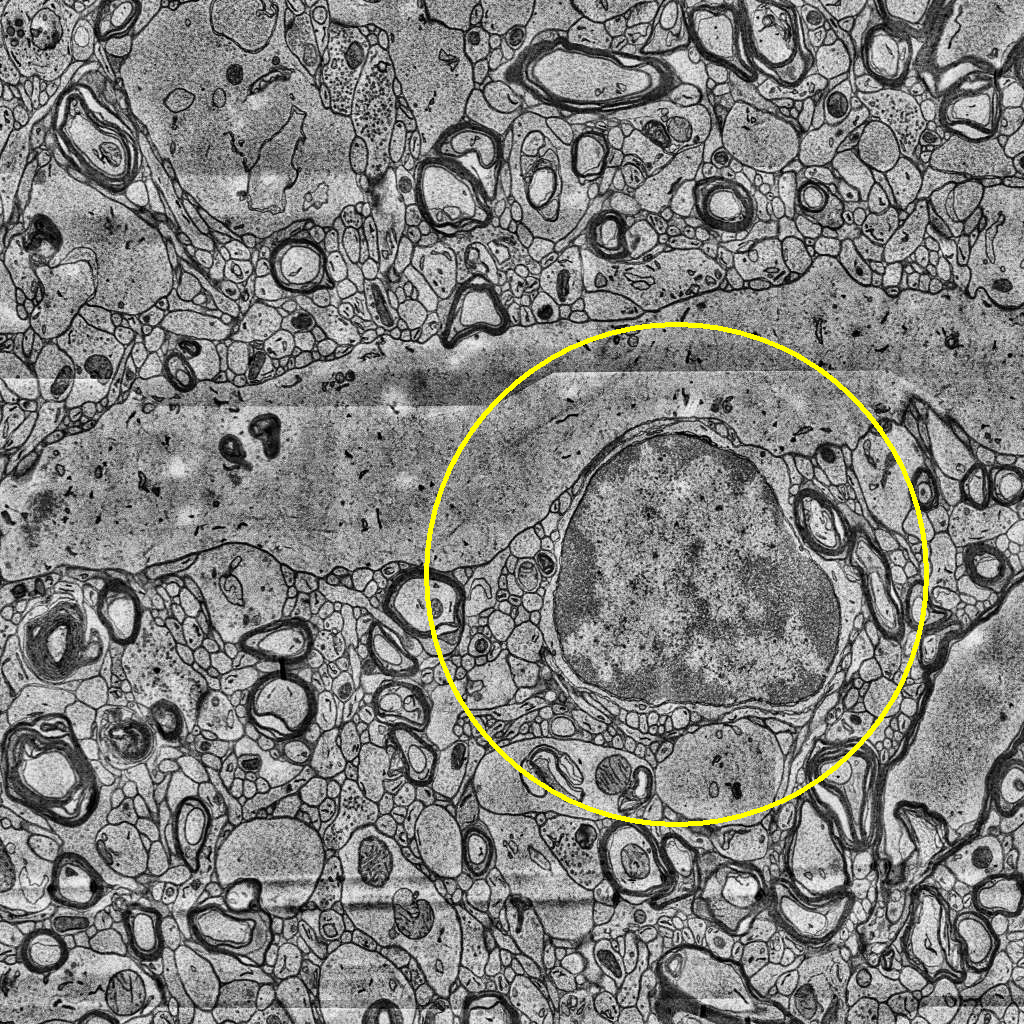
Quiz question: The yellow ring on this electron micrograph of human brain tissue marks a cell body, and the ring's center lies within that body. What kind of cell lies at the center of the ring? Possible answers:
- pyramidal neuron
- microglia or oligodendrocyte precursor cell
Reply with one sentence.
The ring's center lies on a microglial cell or oligodendrocyte precursor cell.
